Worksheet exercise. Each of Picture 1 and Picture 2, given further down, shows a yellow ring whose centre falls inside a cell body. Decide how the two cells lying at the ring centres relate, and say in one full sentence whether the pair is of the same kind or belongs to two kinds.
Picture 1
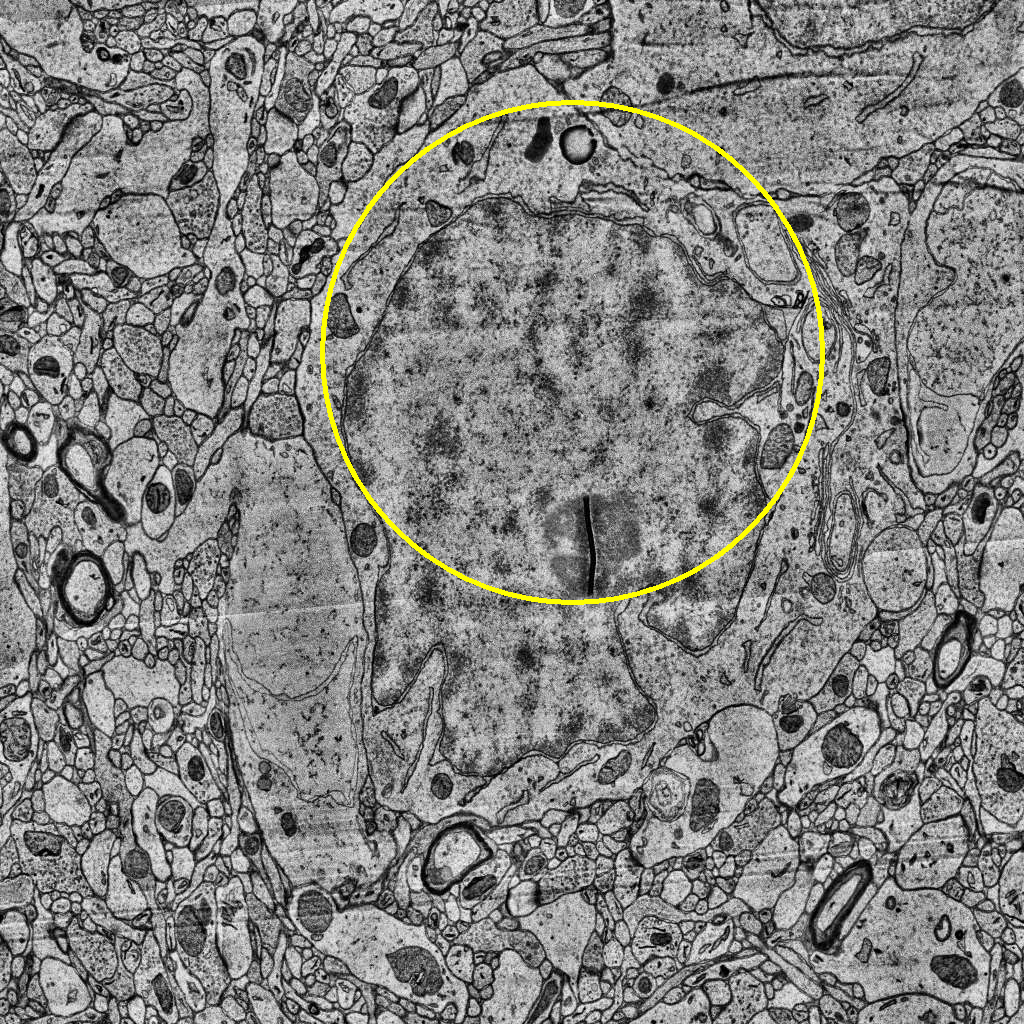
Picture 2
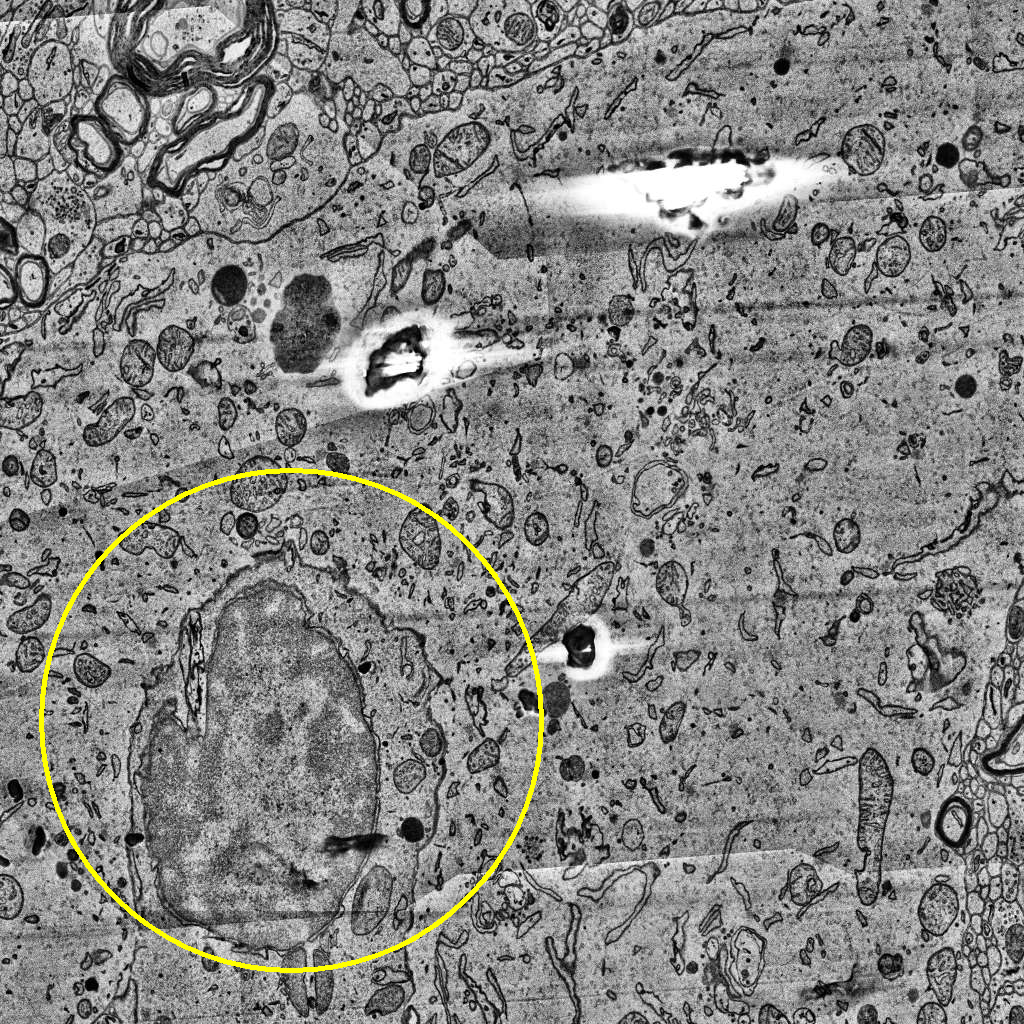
The cells at the ring centres in Picture 1 and Picture 2 belong to two kinds.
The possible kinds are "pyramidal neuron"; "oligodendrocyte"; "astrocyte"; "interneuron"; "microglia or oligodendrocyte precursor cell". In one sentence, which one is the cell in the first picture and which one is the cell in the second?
The first cell is an interneuron; the second is an oligodendrocyte.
